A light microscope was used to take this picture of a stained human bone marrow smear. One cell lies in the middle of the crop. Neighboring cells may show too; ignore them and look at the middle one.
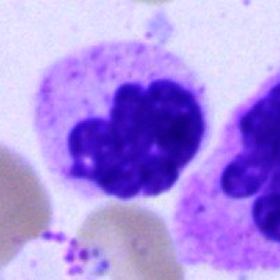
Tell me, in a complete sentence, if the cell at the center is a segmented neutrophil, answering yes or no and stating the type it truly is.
Yes, the identification of the central cell as a segmented neutrophil is correct.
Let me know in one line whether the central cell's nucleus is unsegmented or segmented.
Multiple nuclear lobes, two or more, can be counted in this cell.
